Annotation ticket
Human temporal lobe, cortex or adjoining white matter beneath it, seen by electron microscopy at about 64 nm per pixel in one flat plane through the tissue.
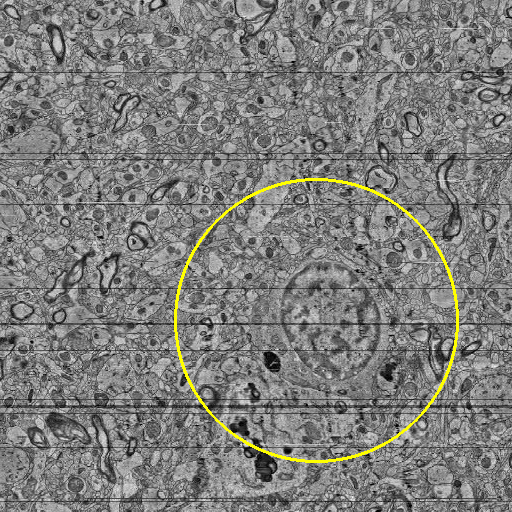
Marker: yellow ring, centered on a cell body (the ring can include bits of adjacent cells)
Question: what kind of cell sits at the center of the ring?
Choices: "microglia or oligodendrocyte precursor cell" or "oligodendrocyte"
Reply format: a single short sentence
The ring is centered on an oligodendrocyte.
